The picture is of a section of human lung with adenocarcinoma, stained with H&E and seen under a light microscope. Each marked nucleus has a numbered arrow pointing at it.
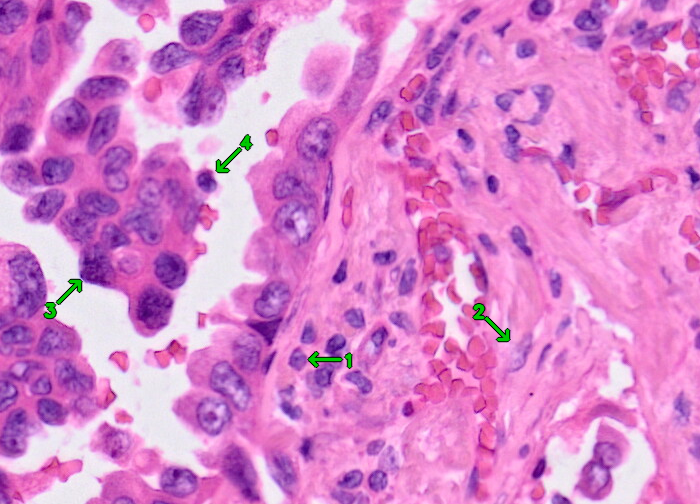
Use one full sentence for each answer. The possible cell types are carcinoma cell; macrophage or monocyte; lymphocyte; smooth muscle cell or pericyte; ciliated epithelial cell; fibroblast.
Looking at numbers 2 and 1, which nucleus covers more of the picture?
Nucleus 2 is larger, with an area about 2 times that of nucleus 1.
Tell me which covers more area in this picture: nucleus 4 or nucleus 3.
The larger nucleus is 3, at roughly 4 times the area of 4.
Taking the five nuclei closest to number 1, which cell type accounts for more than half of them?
Around number 1, most of the five nearest nuclei are those of lymphocytes.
